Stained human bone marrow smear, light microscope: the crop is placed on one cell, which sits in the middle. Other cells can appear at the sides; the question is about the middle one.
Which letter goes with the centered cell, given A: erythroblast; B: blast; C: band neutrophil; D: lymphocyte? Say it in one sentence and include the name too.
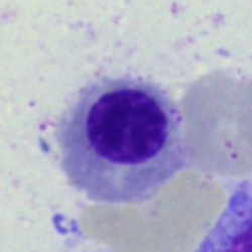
As the central cell is an erythroblast, option A is correct.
